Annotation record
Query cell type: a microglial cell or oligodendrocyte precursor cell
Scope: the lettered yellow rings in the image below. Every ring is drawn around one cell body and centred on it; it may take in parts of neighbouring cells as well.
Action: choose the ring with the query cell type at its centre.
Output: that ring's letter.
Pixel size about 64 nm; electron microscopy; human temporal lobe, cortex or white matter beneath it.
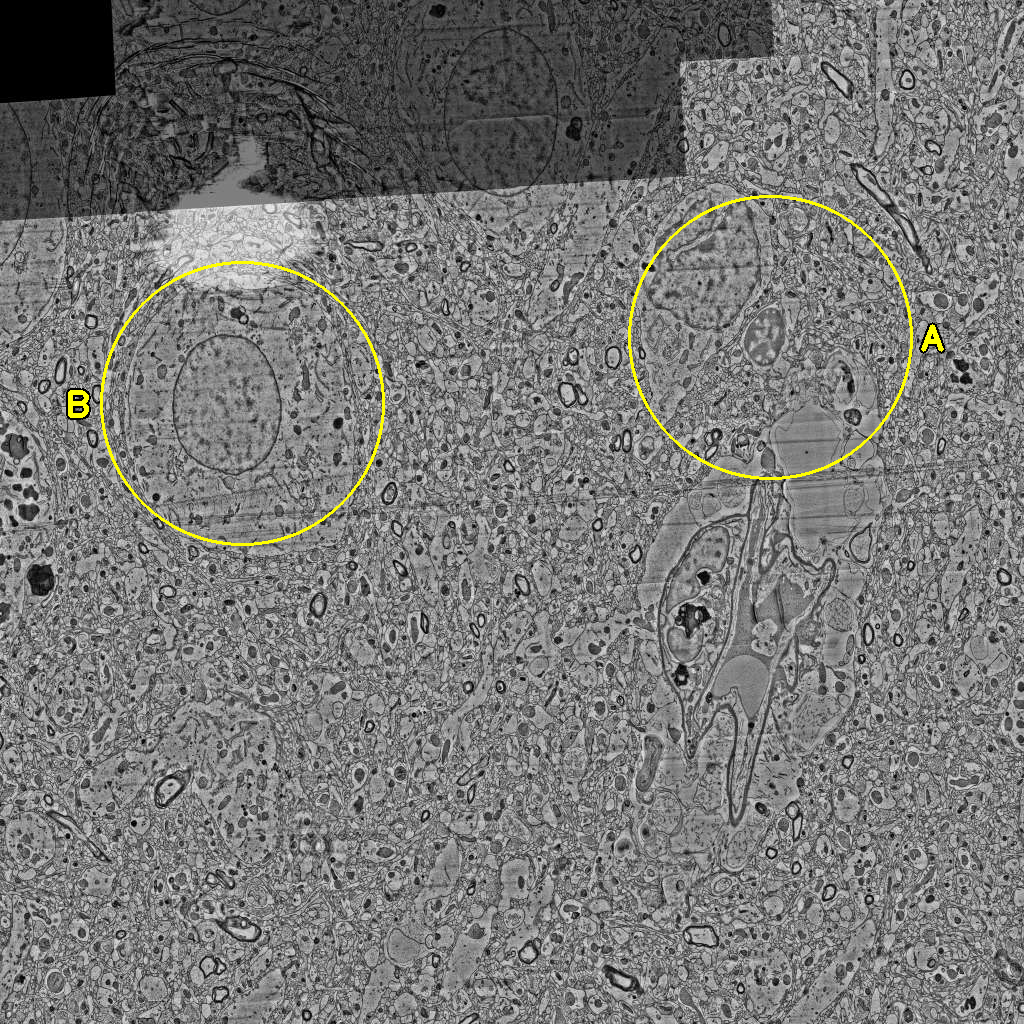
A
